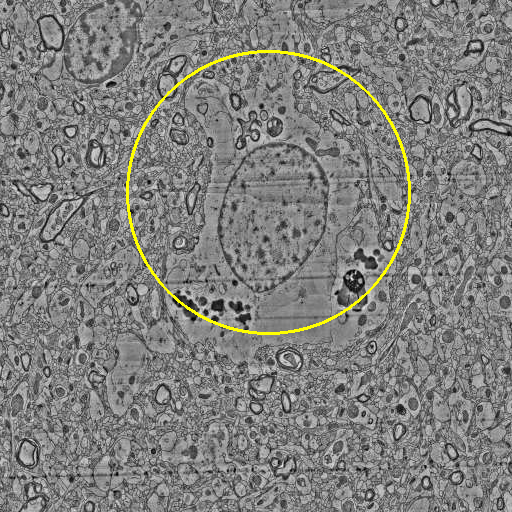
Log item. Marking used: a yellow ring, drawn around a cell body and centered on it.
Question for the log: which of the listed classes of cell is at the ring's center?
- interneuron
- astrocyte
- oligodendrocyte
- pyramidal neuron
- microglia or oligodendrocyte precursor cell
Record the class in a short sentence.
At the center of the ring lies an astrocyte.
